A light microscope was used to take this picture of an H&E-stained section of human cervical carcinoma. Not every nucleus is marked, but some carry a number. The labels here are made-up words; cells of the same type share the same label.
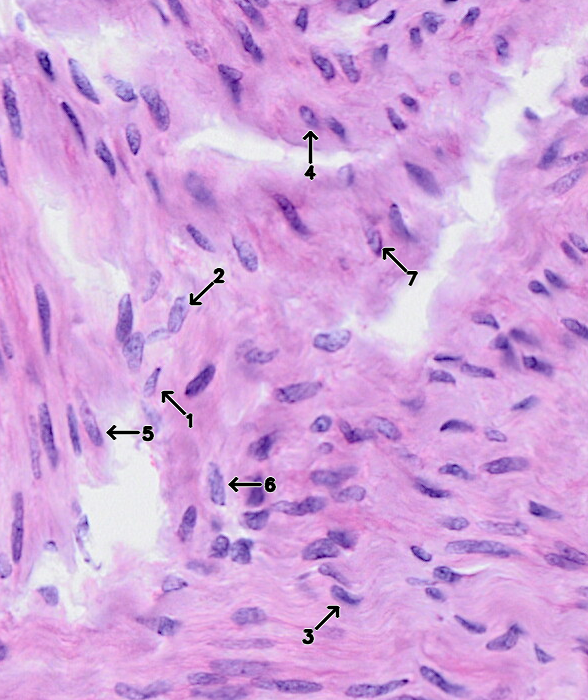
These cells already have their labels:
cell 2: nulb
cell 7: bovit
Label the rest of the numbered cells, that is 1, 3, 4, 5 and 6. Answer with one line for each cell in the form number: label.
1: nulb
3: nulb
4: bovit
5: bovit
6: nulb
